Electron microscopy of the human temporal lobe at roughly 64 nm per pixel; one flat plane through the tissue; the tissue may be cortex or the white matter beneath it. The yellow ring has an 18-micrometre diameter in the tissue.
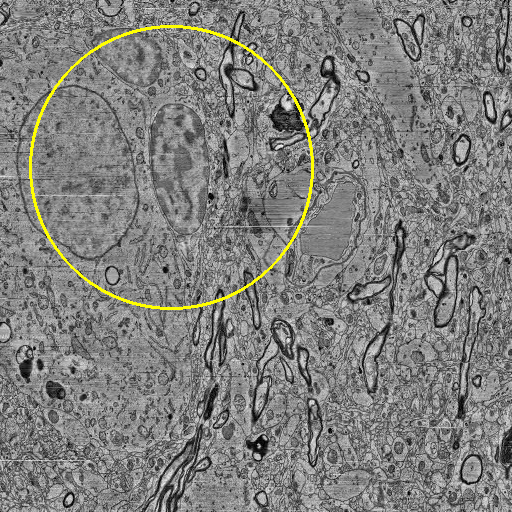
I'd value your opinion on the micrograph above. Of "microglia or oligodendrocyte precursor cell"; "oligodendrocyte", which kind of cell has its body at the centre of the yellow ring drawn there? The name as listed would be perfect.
microglia or oligodendrocyte precursor cell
